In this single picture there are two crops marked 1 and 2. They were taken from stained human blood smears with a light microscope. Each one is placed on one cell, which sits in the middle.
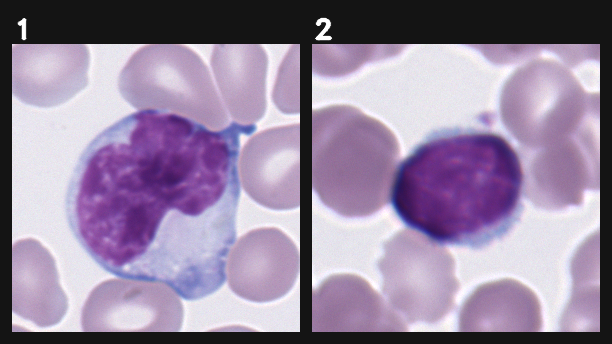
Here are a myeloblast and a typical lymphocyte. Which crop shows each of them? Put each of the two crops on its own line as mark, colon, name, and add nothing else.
1: myeloblast
2: typical lymphocyte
